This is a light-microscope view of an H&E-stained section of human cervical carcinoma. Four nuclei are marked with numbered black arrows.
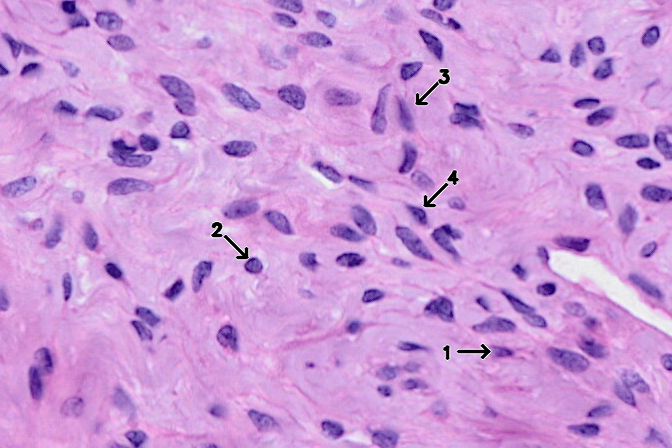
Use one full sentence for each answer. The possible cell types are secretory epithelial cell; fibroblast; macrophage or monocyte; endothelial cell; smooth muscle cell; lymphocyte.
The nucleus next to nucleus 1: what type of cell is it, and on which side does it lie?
A fibroblast lies closest, above nucleus 1.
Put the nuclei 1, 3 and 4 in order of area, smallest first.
Smallest first, the nuclei run 1, 4, 3.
